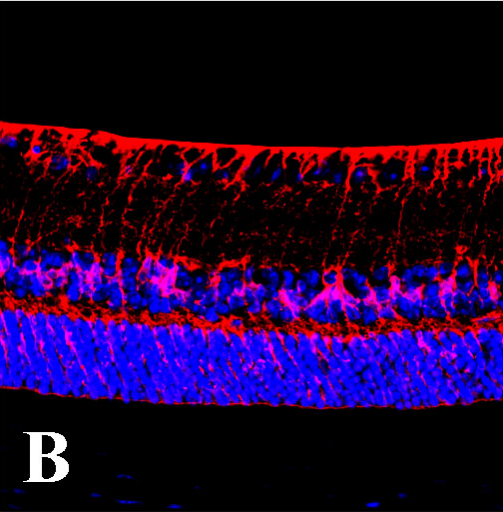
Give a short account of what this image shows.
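Cross-section of retina showing Müller cells in red spanning the retinal layers, with nuclei in blue. Thin radial red processes run from a bright red line at the inner retinal surface through the inner layers to red cell bodies in the middle nuclear band. Further red processes pass between the densely packed nuclei of the outer nuclear layer to a thin red line at its outer edge.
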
